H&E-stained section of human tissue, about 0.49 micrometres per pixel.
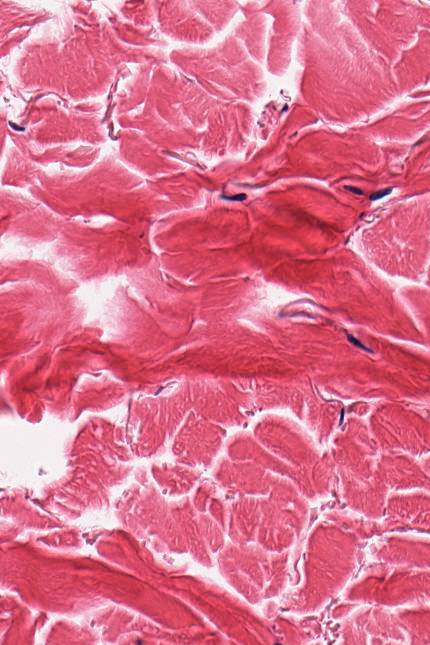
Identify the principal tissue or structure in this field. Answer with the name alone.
dermis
